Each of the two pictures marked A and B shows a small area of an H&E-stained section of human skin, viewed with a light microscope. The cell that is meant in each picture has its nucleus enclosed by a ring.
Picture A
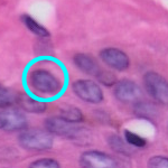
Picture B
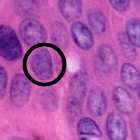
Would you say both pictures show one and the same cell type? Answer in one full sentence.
Yes, both are basal keratinocytes.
